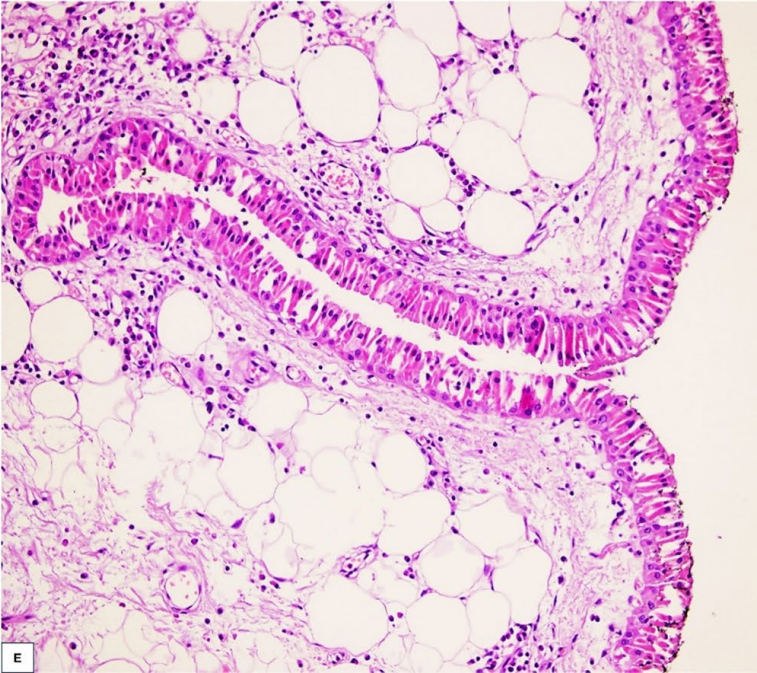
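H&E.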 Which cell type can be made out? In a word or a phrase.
Mature adipocyte.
